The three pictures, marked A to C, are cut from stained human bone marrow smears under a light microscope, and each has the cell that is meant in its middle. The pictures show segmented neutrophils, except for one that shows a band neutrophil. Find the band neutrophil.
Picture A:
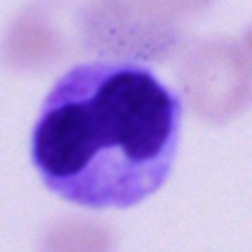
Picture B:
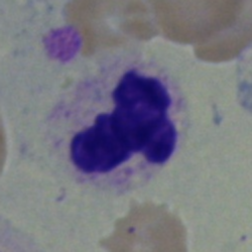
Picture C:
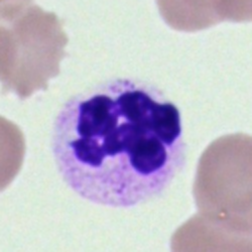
A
